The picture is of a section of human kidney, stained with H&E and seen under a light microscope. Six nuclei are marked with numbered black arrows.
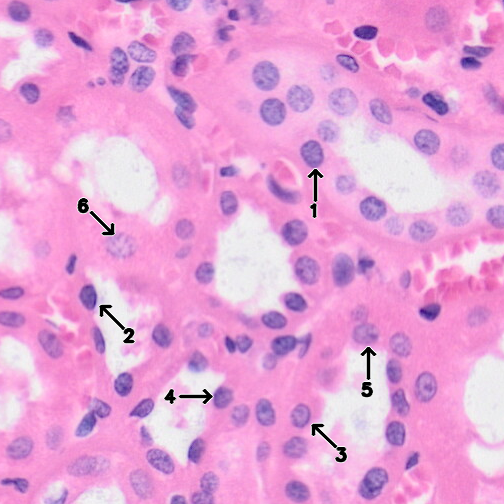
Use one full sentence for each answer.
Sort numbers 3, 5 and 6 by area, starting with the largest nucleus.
The nuclei rank 6, 5, 3, from largest to smallest.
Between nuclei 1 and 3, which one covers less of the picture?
It is nucleus 3; nucleus 1 has about 1.5 times its area.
